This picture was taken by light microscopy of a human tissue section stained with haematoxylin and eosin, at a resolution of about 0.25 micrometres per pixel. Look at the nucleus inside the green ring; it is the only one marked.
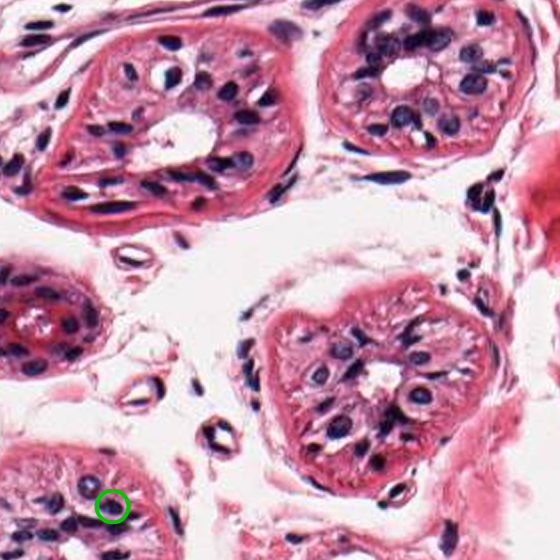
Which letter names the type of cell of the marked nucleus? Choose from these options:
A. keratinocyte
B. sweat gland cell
B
